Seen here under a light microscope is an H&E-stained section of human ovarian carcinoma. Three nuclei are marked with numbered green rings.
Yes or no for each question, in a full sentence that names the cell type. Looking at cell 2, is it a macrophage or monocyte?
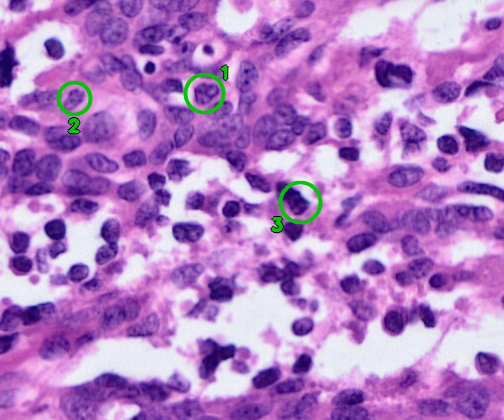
Yes, that one, number 2, is a macrophage or monocyte.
